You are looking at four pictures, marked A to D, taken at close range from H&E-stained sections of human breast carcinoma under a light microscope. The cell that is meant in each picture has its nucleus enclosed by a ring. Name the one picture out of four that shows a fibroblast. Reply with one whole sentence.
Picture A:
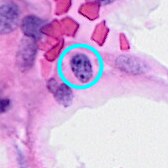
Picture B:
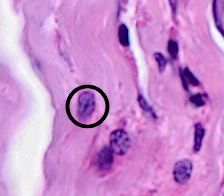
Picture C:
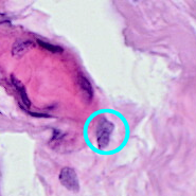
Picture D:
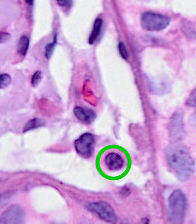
Picture C shows the fibroblast.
